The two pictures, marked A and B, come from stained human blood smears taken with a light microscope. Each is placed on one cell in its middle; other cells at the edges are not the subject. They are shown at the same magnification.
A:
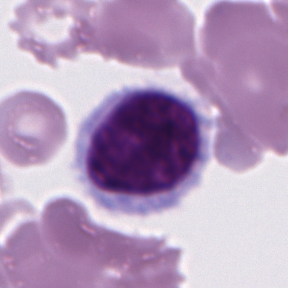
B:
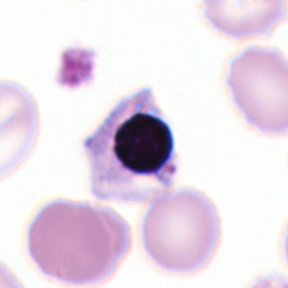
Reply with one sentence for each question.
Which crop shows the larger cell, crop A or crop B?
It is the cell in crop A, about 2.5 times as large in area as the cell in crop B.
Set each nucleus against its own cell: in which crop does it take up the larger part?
It is the cell in crop A that is filled more by its nucleus.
